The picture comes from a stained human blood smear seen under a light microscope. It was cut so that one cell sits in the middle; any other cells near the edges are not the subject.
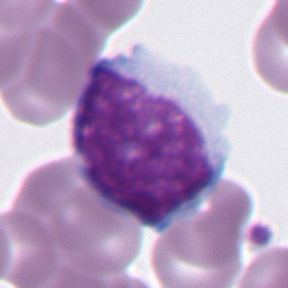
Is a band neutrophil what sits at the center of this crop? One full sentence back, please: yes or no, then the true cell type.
No; rather than a band neutrophil, the cell at the center is a monocyte.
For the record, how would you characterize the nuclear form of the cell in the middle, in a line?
The nucleus holds together as a single compact mass, round, oval or kidney-like.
